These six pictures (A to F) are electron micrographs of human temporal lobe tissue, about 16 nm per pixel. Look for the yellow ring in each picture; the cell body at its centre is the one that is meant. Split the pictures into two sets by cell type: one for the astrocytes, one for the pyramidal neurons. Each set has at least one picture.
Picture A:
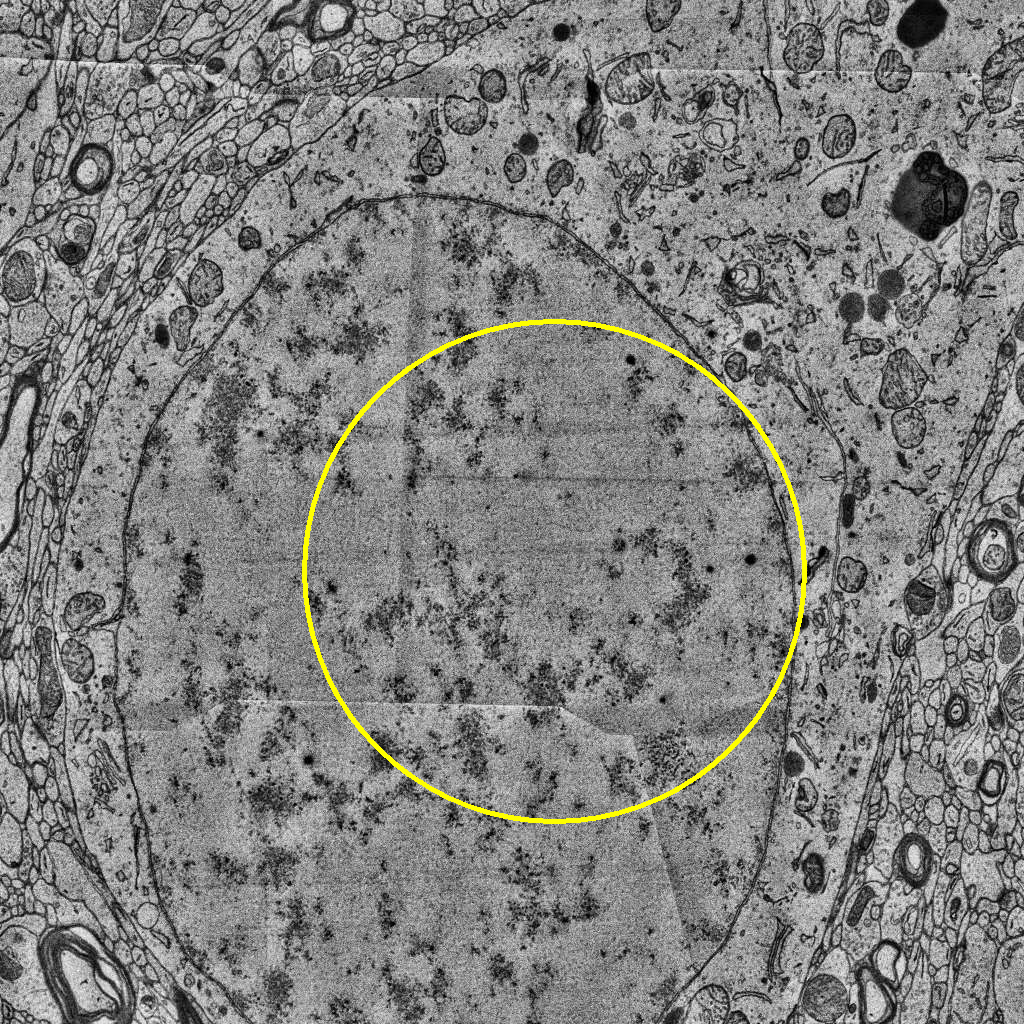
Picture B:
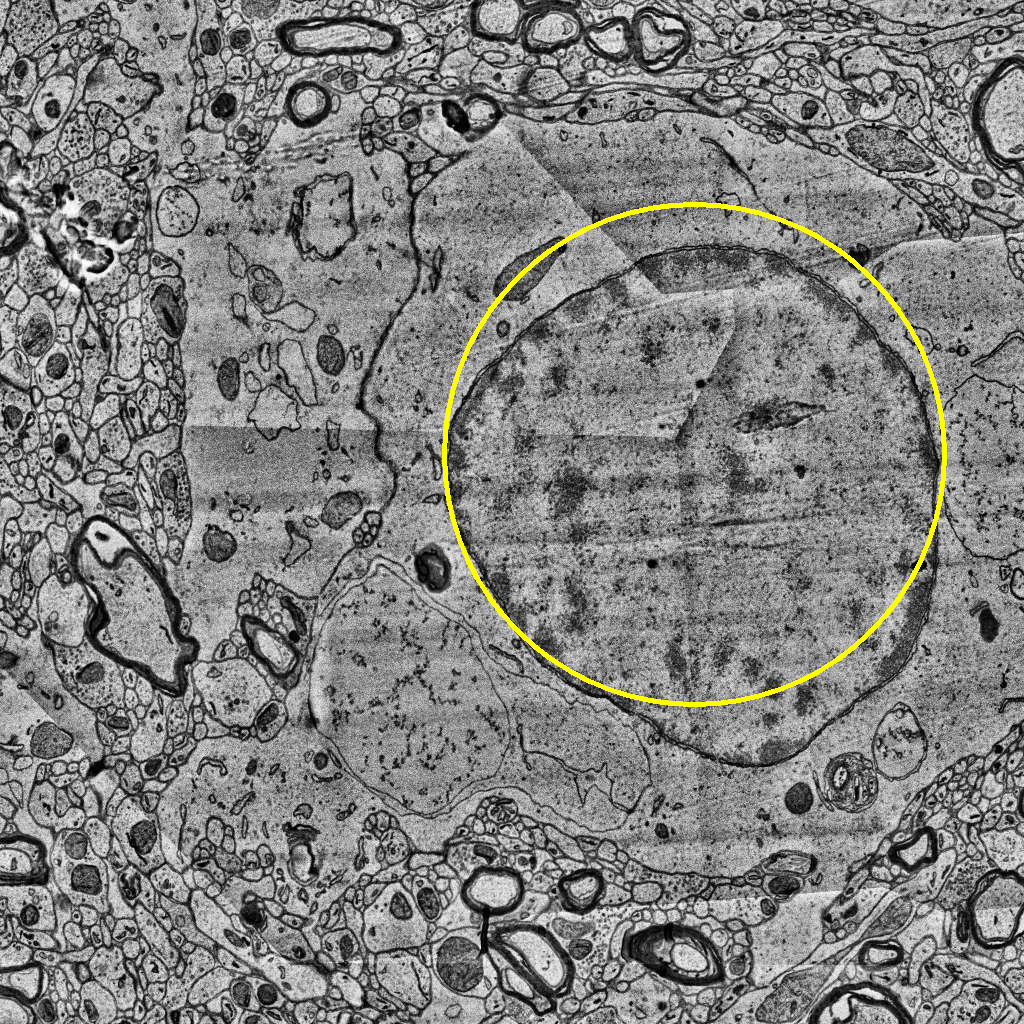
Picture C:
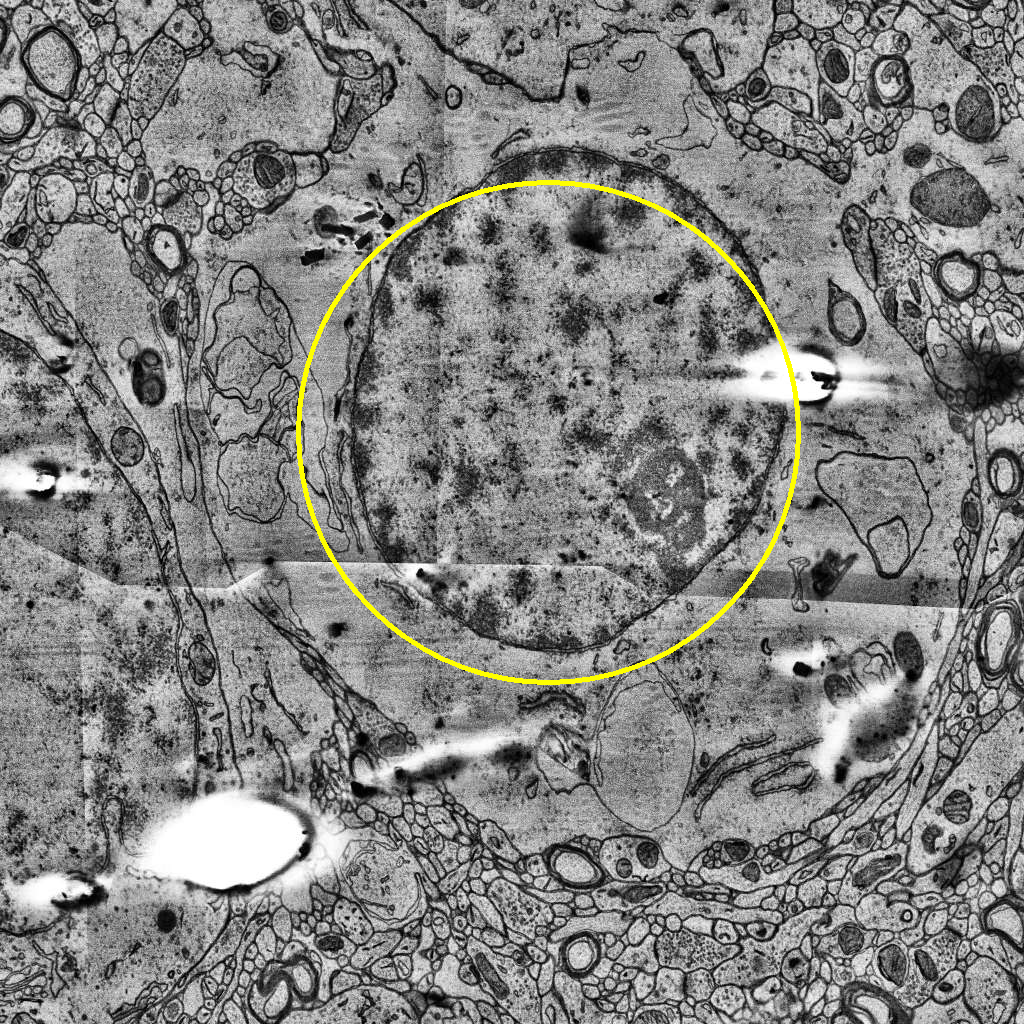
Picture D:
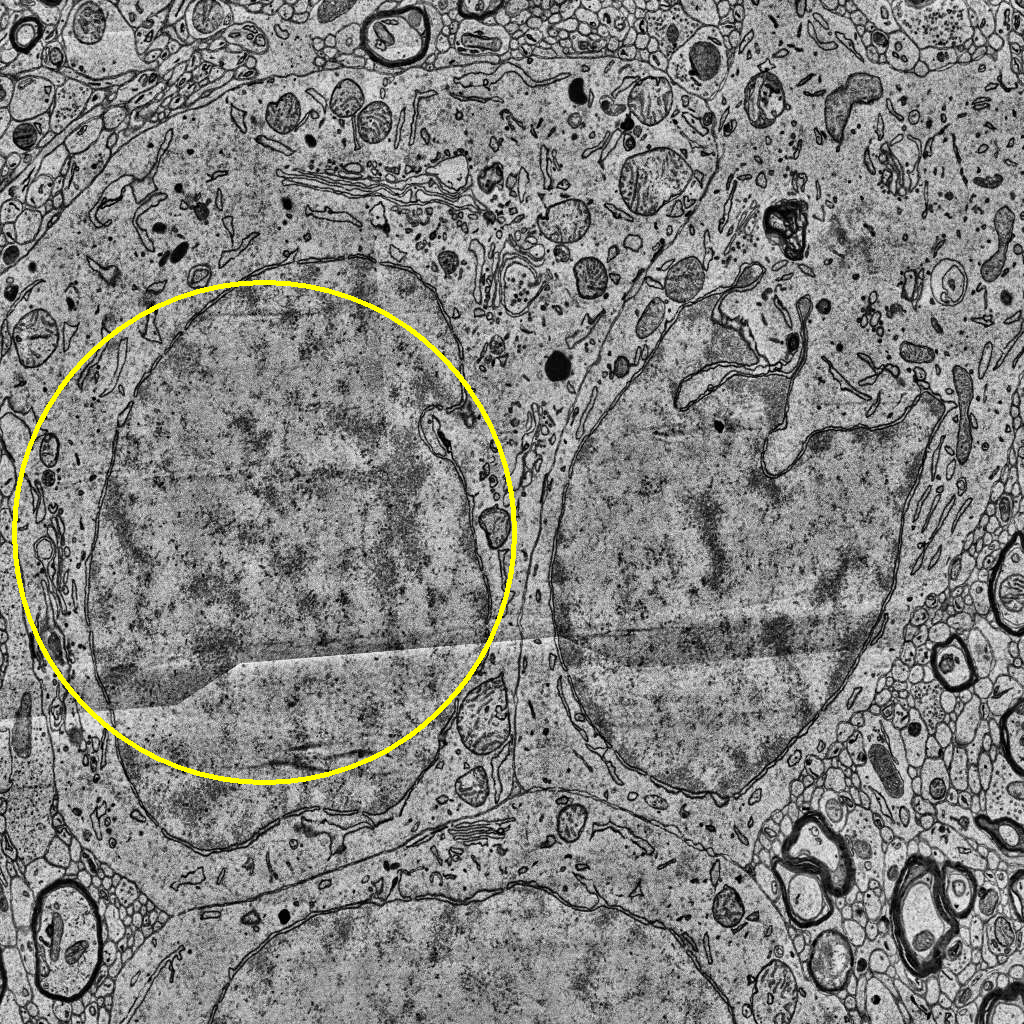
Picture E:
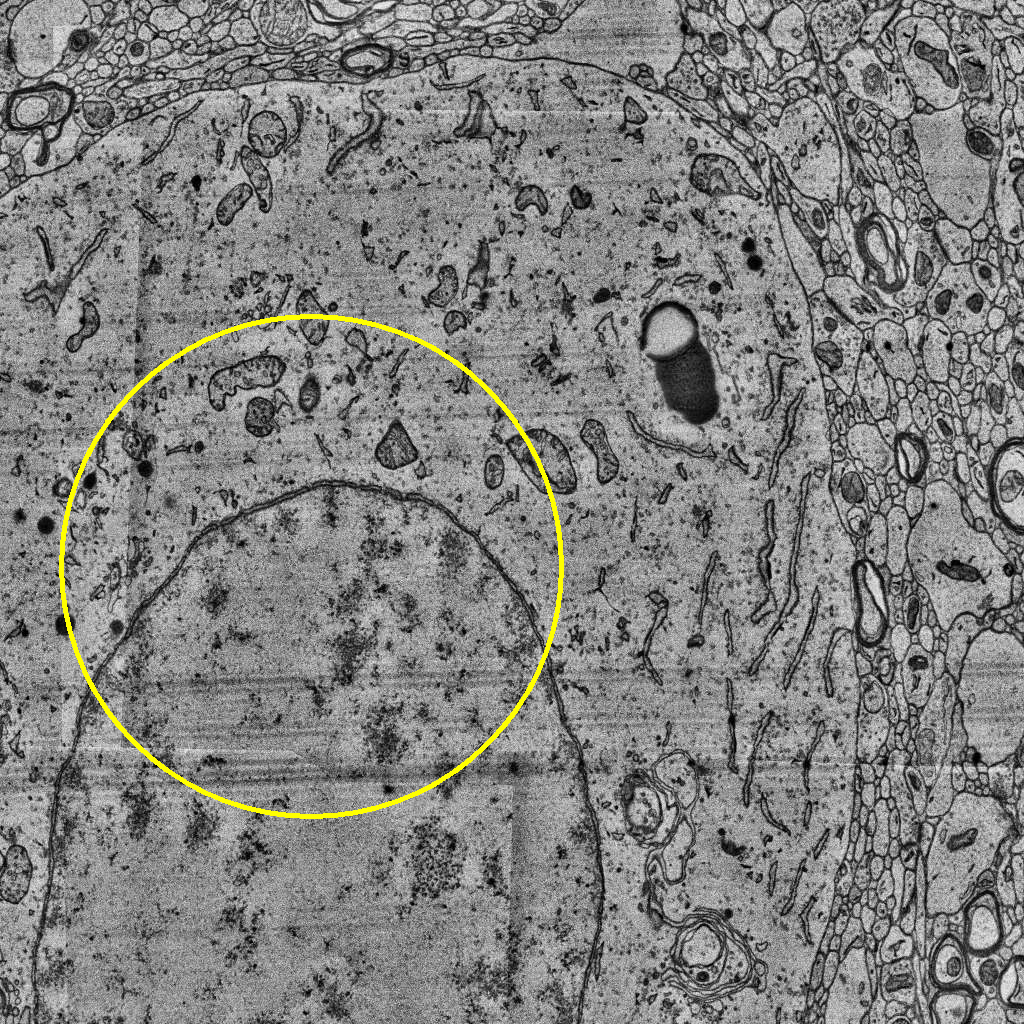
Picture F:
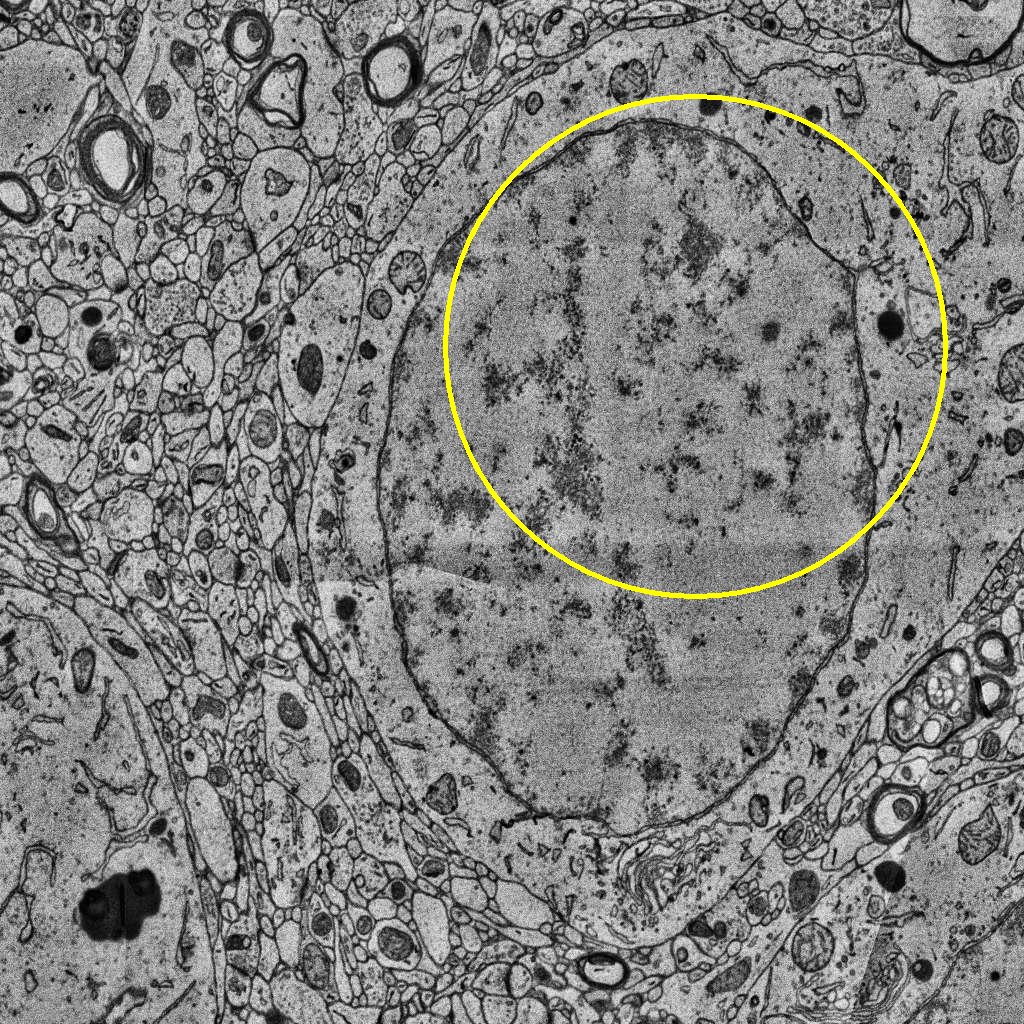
Pictures B and C show astrocytes, and pictures A, D, E and F show pyramidal neurons.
